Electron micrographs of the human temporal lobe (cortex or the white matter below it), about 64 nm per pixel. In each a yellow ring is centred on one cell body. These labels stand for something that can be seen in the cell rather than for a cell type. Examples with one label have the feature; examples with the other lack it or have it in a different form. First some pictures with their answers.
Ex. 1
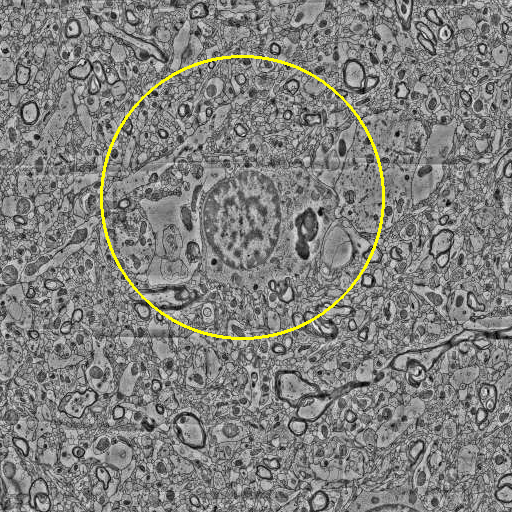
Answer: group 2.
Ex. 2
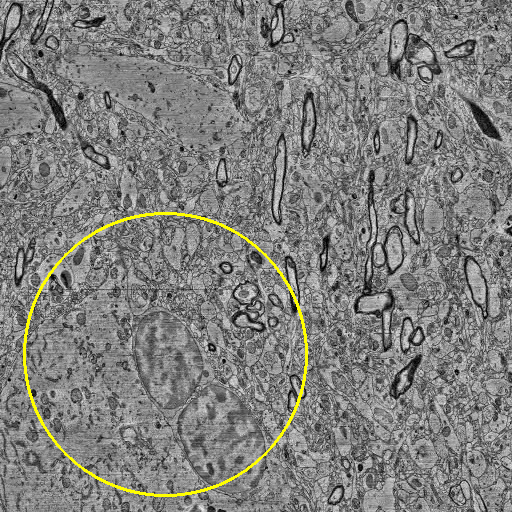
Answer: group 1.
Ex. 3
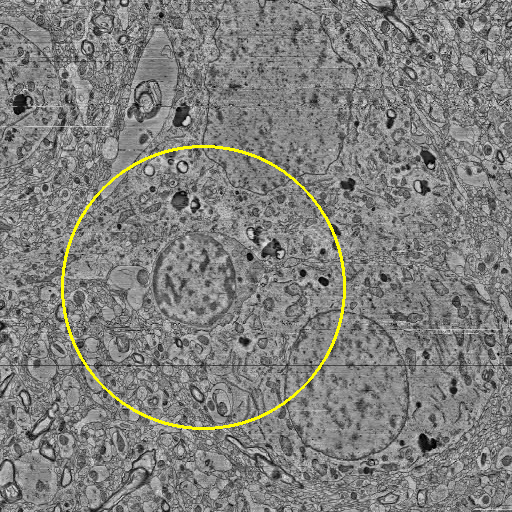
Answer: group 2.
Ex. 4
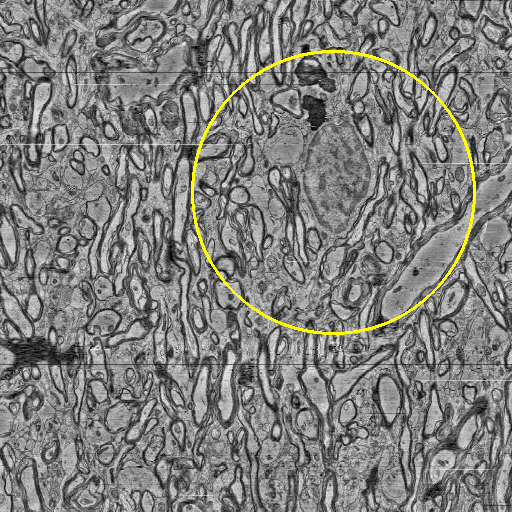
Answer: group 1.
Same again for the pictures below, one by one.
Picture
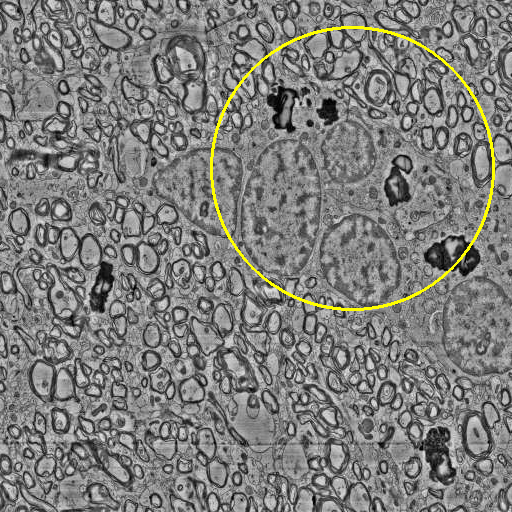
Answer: group 2.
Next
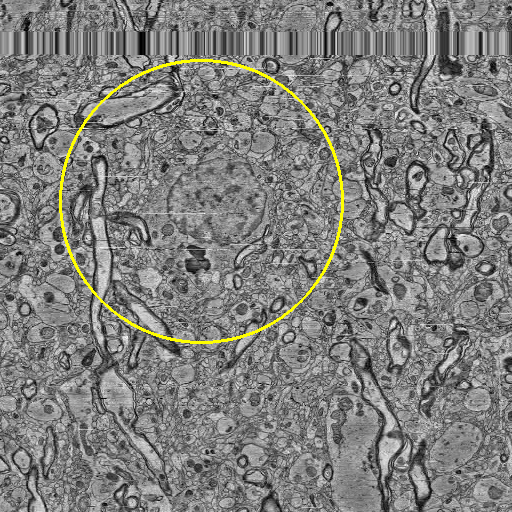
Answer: group 2.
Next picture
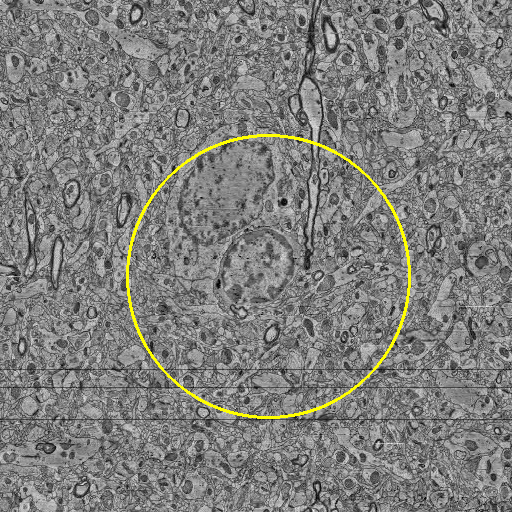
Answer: group 2.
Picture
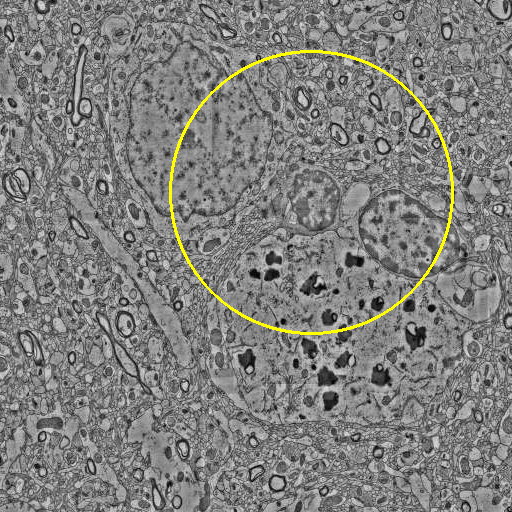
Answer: group 2.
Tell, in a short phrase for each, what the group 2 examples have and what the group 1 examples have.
Seen in group 2: round or nearly round nuclei; seen in group 1: clearly elongated nuclei.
